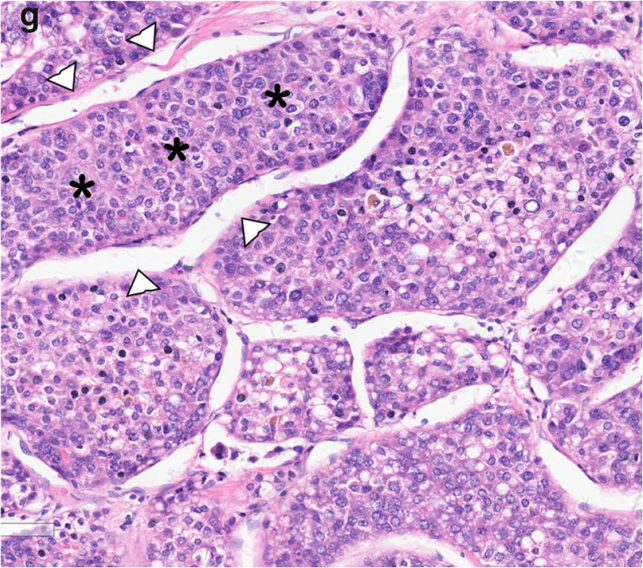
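Tumor hepatocytes in thick sheets, far more than six cells across, separated by narrow clear slit-like vascular spaces lined by thin flattened cells. The cells are polygonal with pink to pale, partly vacuolated cytoplasm and round, crowded purple nuclei with nucleoli.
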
